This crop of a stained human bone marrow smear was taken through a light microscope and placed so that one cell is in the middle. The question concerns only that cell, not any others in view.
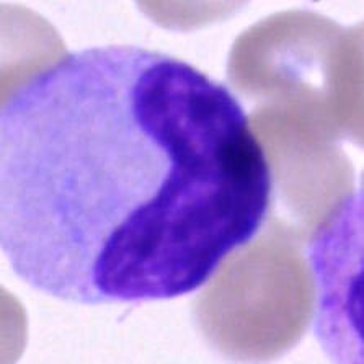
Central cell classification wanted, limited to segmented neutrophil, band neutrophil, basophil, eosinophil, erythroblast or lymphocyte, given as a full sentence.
Looking at the middle of the crop, the cell there is a band neutrophil.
